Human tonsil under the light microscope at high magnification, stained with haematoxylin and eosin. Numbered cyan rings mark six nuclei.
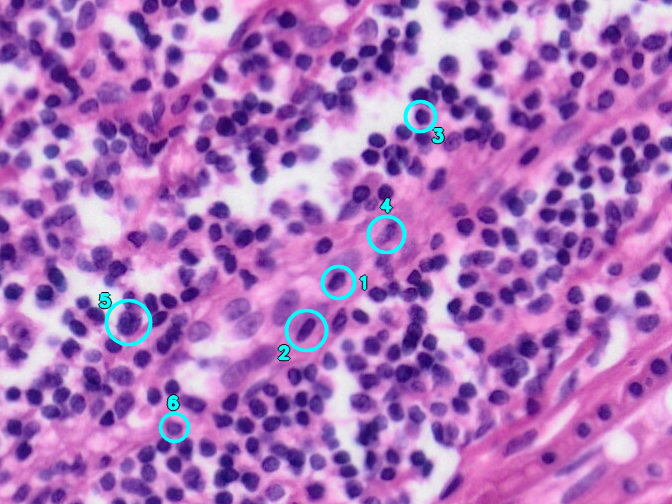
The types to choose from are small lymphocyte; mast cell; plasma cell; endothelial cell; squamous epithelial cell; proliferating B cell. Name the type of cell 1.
endothelial cell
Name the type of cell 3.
small lymphocyte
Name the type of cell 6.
endothelial cell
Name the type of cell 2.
endothelial cell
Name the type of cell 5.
proliferating B cell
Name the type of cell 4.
endothelial cell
